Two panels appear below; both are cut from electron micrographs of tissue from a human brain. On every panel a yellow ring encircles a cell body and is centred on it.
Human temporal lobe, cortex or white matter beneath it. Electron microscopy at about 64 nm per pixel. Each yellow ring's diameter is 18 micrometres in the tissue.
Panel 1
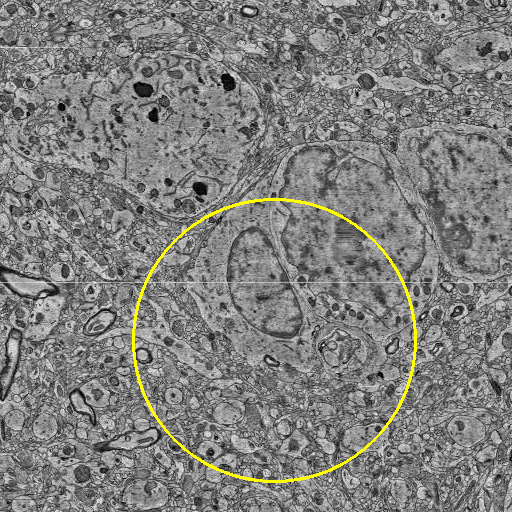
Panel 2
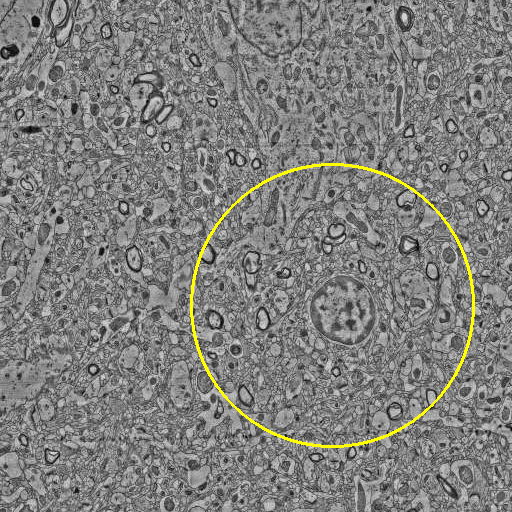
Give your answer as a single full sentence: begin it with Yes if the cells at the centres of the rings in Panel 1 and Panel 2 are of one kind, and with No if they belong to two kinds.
Yes, the cells in the middle of the rings in Panels 1 and 2 are of one kind.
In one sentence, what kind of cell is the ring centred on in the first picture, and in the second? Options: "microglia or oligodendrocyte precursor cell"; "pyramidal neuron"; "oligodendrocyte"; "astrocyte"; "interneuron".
The first and the second cell are each a microglial cell or oligodendrocyte precursor cell.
